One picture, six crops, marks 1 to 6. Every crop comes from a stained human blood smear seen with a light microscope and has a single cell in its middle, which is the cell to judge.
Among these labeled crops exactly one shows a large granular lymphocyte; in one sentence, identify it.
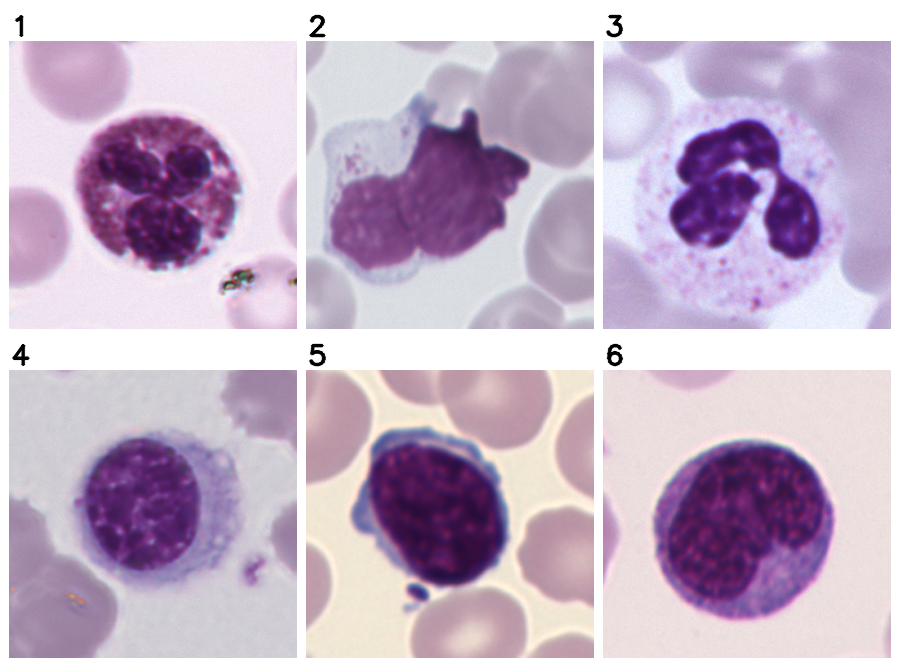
The crop that shows a large granular lymphocyte is crop 2.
